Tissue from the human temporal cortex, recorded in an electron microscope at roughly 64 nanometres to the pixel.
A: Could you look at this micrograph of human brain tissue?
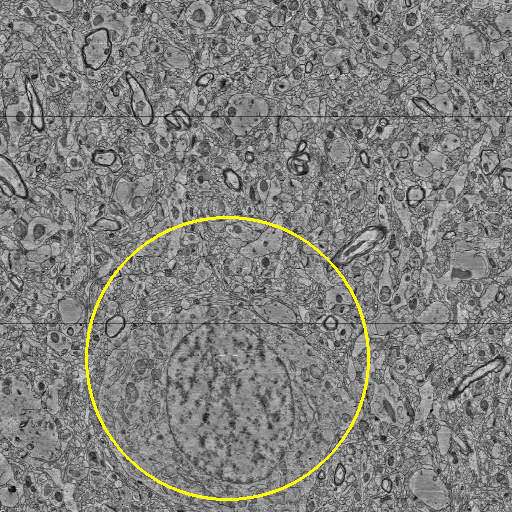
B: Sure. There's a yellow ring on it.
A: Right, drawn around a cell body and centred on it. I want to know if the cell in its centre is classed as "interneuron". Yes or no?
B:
yes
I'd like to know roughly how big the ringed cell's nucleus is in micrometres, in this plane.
In this plane, the nucleus of the cell at the centre of the ring measures about 11 by 8 micrometres.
